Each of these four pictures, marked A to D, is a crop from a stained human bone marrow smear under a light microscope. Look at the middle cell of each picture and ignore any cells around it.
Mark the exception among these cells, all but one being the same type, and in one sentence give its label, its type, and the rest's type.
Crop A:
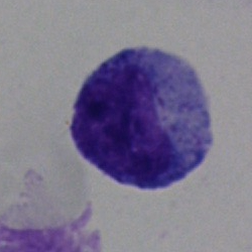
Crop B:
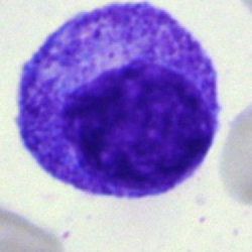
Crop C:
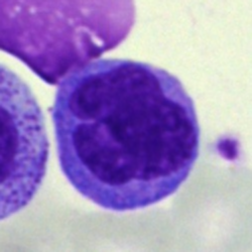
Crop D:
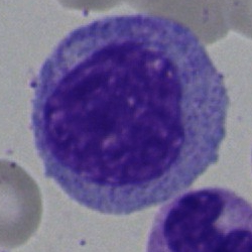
Crop C is singled out as a monocyte, and all of the other crops show promyelocytes.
